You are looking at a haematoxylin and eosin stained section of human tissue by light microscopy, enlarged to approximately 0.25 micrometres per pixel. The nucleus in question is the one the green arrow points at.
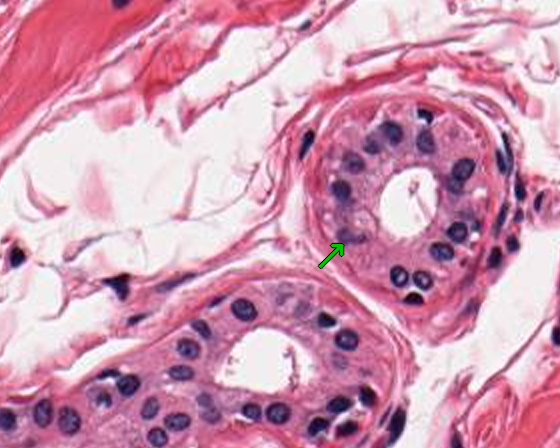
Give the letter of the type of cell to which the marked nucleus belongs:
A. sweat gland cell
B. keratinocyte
A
